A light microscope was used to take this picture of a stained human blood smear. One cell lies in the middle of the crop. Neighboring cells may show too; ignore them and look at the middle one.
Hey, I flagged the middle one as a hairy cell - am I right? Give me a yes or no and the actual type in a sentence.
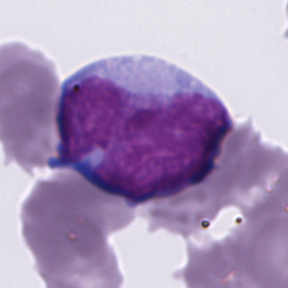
No, the central cell qualifies as a myeloblast rather than as a hairy cell.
